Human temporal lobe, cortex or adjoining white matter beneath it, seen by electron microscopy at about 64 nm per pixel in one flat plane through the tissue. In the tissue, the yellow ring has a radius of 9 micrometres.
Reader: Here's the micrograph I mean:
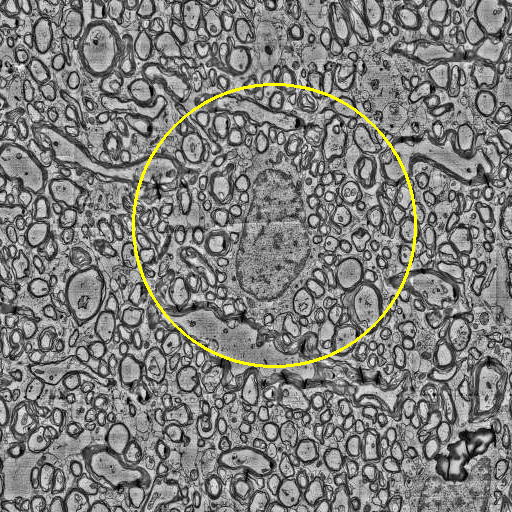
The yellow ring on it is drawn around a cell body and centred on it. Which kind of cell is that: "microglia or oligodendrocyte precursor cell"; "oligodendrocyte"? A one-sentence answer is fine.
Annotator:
The ring is centred on an oligodendrocyte.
